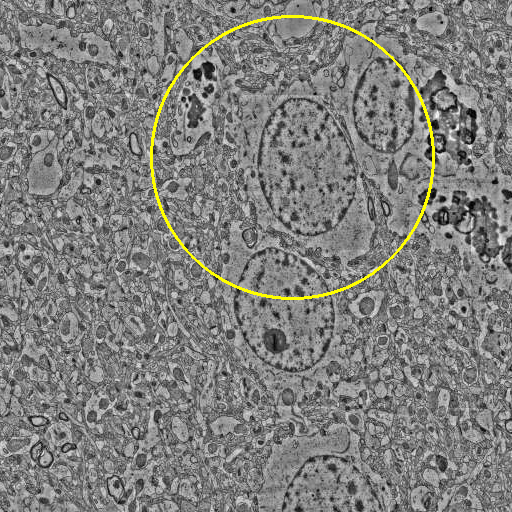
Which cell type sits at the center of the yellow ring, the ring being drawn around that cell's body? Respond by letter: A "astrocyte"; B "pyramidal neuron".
A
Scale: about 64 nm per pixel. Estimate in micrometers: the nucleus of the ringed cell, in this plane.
Roughly 9 by 6 micrometres is the size of the nucleus in this plane.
